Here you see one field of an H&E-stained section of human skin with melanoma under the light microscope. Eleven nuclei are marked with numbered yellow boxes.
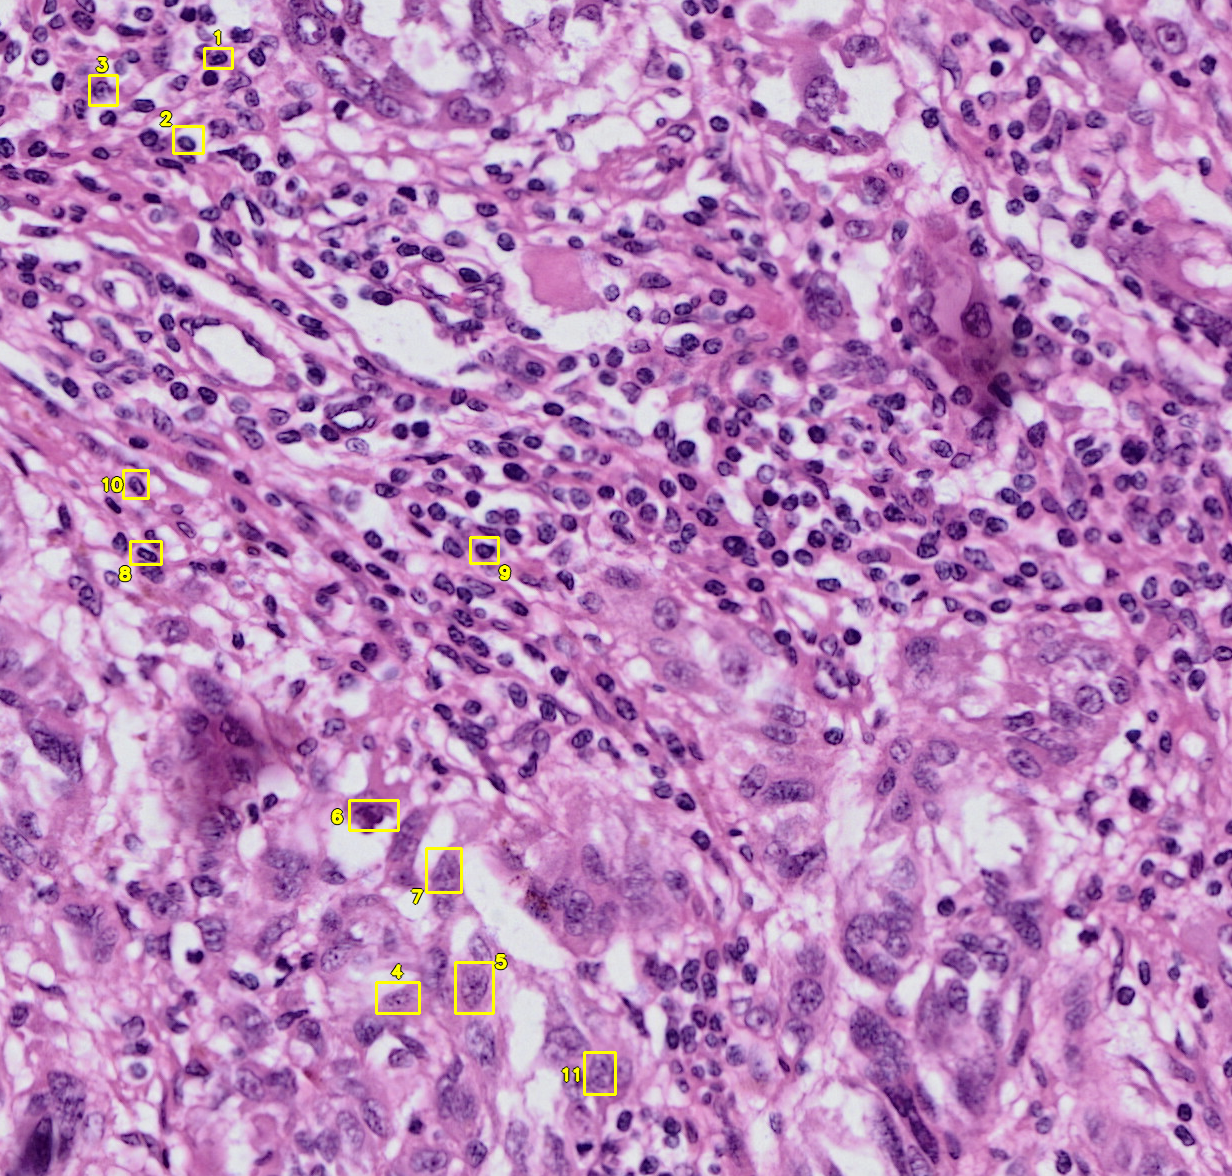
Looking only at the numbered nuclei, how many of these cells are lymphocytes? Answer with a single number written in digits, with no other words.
5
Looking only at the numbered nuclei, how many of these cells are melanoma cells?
5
